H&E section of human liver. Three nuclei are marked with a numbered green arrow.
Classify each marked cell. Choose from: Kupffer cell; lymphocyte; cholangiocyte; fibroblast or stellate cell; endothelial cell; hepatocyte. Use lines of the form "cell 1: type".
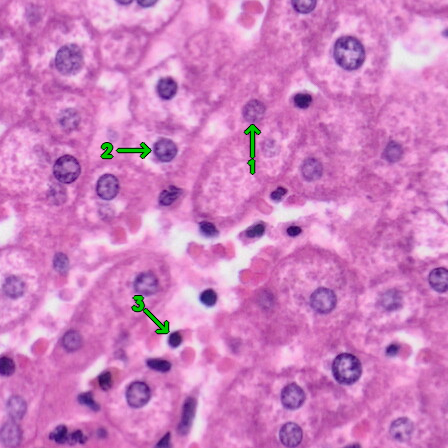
cell 1: hepatocyte
cell 2: hepatocyte
cell 3: lymphocyte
